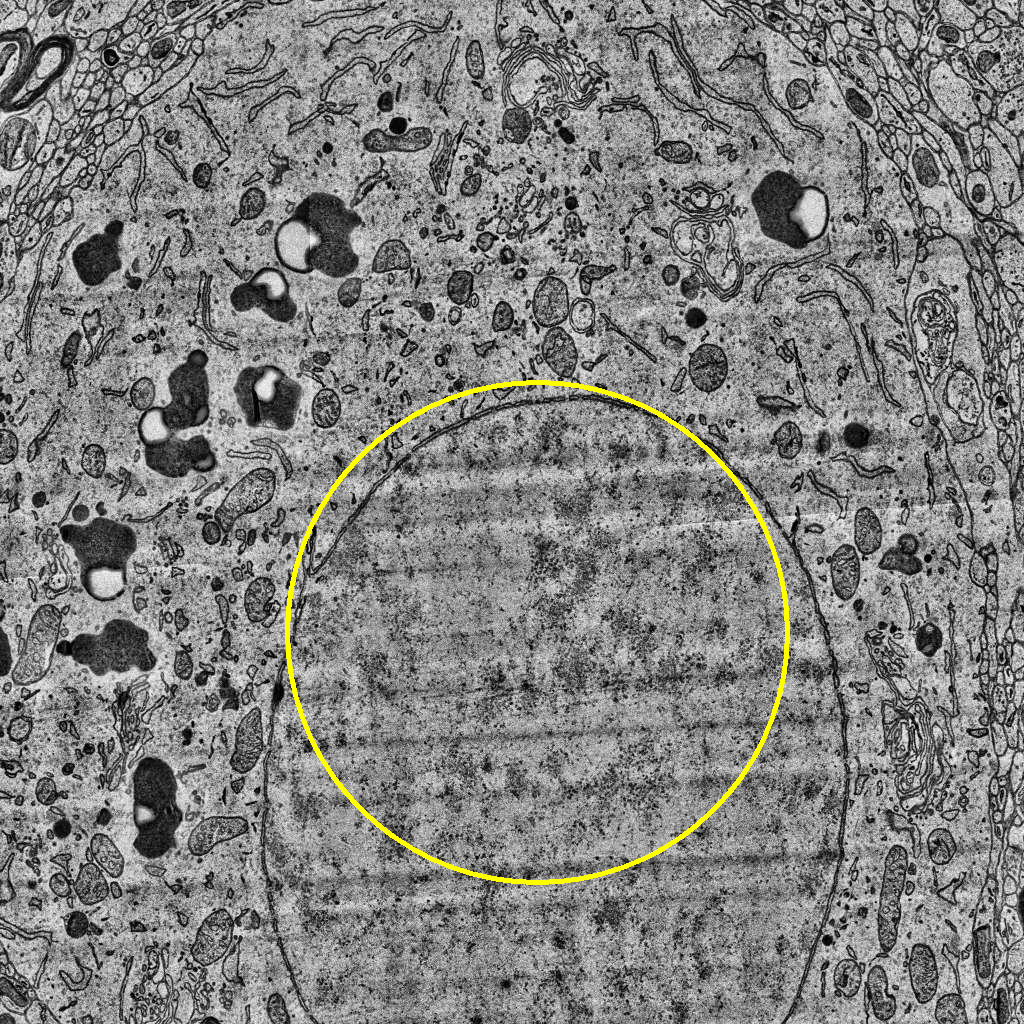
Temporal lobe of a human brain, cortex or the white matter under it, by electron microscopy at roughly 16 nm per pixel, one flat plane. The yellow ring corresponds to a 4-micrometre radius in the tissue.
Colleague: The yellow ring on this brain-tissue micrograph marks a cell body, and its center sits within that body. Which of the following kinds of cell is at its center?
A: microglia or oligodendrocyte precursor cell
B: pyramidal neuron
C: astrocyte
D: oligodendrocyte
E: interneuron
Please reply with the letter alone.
B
